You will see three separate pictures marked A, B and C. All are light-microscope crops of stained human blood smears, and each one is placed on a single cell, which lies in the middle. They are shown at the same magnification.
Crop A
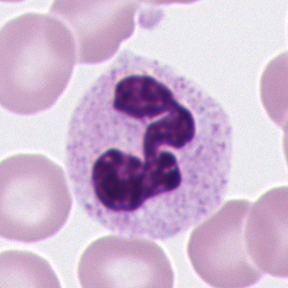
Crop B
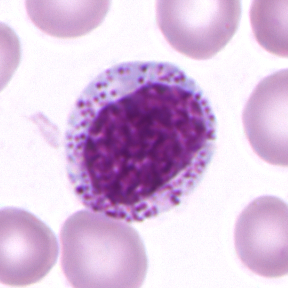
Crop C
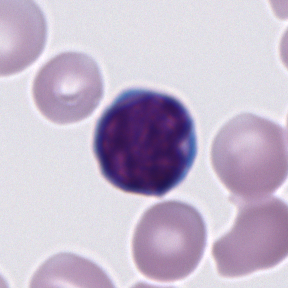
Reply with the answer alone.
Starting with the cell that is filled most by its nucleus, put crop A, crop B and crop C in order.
C, B, A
